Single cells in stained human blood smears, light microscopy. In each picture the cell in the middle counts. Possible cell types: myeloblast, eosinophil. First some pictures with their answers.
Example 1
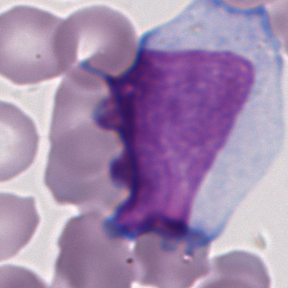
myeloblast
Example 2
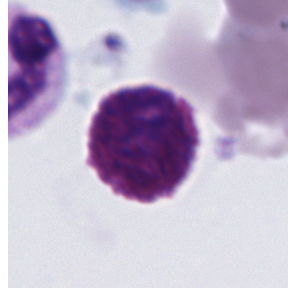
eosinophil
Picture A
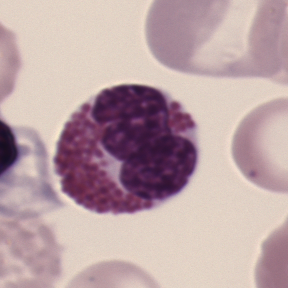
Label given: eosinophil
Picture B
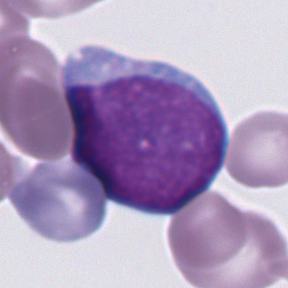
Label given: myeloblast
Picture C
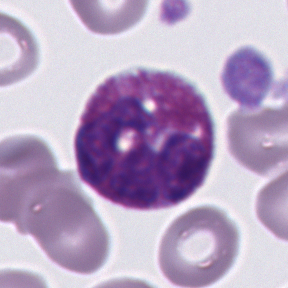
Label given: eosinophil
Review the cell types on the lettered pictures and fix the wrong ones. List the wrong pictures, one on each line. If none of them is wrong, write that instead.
Every label is right.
